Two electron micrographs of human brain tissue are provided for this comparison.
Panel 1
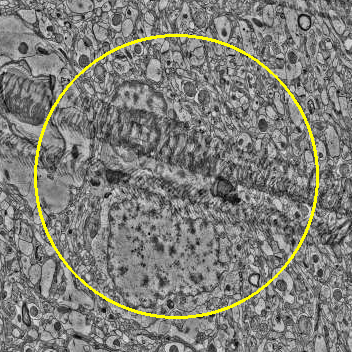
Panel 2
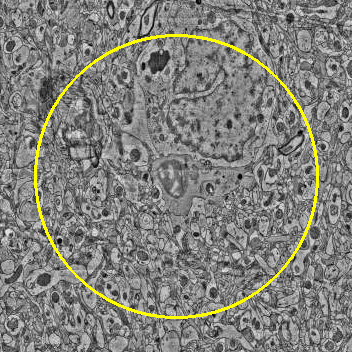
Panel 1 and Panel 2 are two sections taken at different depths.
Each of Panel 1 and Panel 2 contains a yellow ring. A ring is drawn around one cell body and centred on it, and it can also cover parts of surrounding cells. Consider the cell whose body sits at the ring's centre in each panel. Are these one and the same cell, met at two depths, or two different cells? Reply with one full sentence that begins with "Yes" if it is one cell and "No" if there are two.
No, the two rings do not mark one cell; they mark two different cells.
